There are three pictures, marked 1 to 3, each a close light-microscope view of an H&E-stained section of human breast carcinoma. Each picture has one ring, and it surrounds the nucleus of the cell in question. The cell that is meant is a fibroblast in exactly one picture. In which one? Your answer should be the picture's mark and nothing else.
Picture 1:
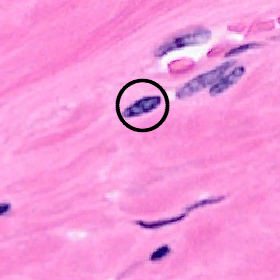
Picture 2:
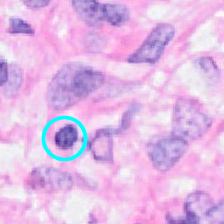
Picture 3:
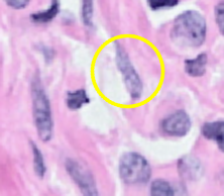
3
